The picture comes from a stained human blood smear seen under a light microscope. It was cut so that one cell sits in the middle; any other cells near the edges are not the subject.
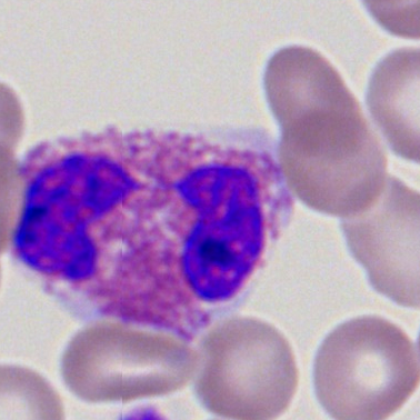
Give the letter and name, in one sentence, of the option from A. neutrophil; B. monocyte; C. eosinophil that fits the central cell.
Option C is the correct one; it names the central cell as an eosinophil.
